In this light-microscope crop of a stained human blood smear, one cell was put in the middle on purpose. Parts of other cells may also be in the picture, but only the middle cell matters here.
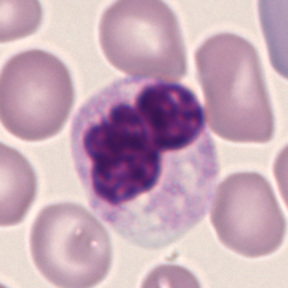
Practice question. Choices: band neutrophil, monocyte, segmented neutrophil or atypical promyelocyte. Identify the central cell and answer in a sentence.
The single cell at the center of the crop is a segmented neutrophil.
